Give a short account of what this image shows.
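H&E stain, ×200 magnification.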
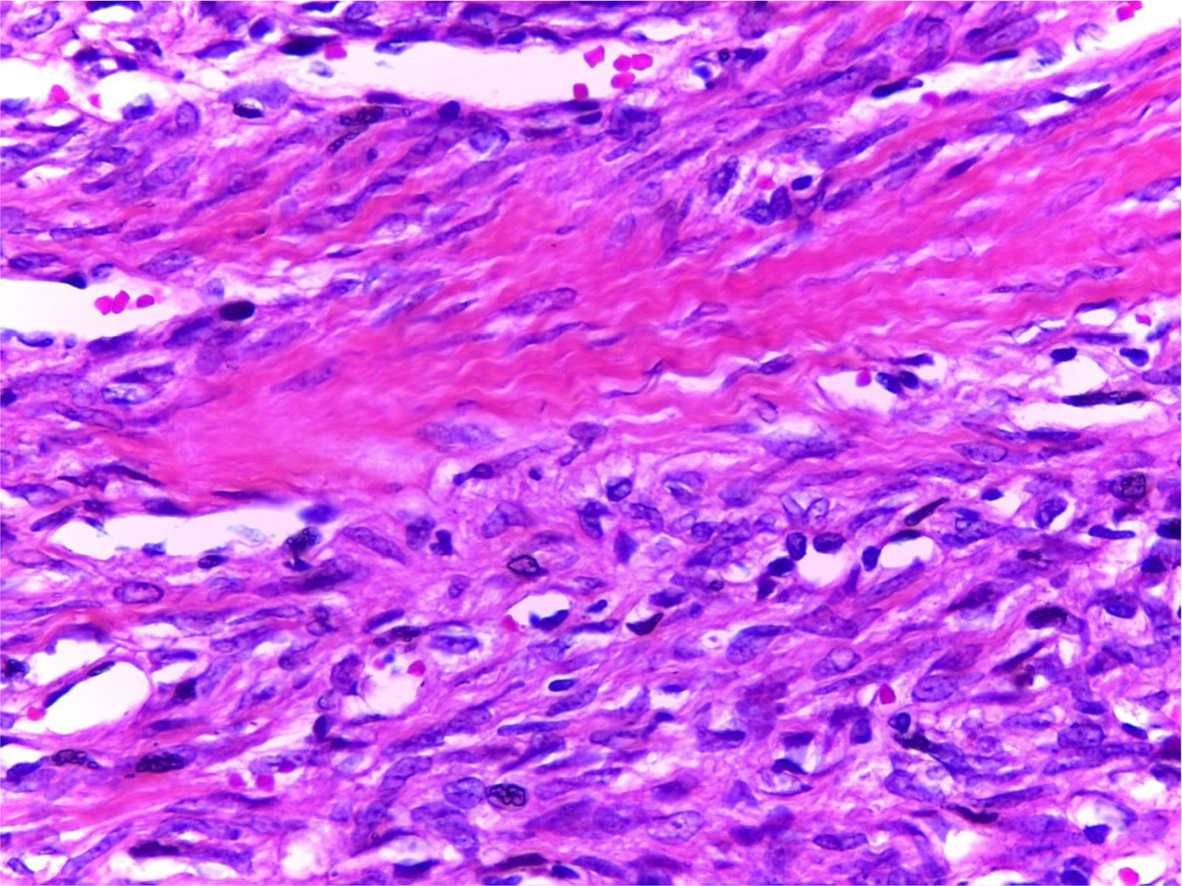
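This is a cellular proliferation of spindle cells, seen in pink and purple. Most cells are elongated, with oval to cigar-shaped purple nuclei and pale pink, ill-defined cytoplasm, and they lie in streams running roughly from lower left to upper right. Across the upper middle runs a band of wavy, bright pink collagen fibres. Scattered small clear spaces, some holding red blood cells, are thin-walled vessels. The nuclei are not all alike: some are larger, rounder or darker than their neighbours, and a few show coarse chromatin, a mild degree of atypia. Small, dark, round nuclei scattered among the spindle cells belong to other cells in the background.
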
